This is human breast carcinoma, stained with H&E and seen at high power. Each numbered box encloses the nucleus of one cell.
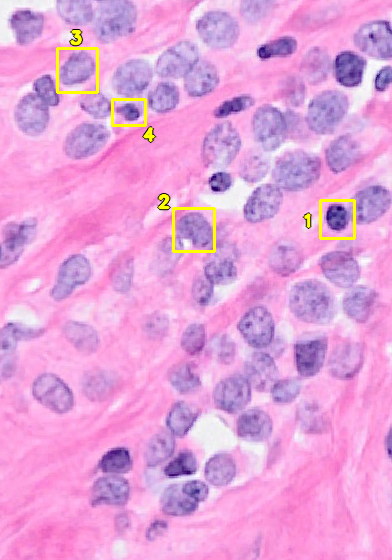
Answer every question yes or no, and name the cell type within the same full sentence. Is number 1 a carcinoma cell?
No, cell 1 isn't a carcinoma cell; it's a lymphocyte.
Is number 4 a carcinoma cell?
No, cell 4 is a lymphocyte and should not be called a carcinoma cell.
